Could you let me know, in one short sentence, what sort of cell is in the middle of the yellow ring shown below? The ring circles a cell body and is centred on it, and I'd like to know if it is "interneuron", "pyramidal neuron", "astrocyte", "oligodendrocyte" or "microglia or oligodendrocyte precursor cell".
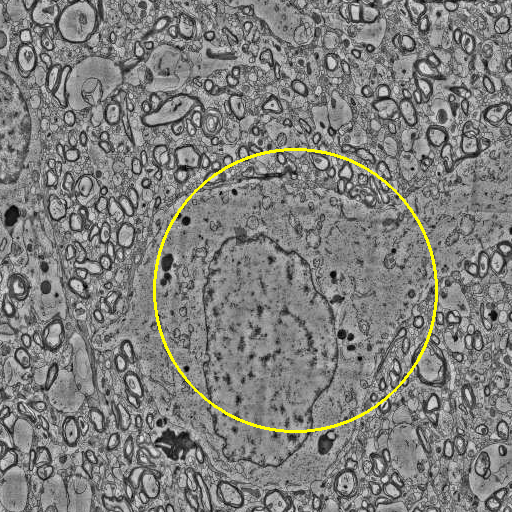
The ring circles the cell body of a pyramidal neuron.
